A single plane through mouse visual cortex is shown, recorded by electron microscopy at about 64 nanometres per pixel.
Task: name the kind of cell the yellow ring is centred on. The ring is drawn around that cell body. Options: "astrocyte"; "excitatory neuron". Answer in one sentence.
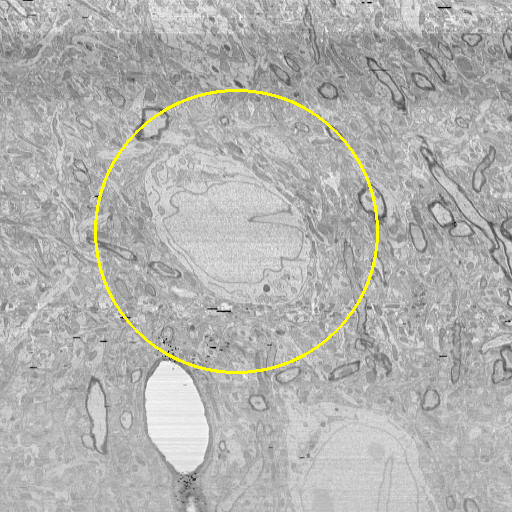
This cell body belongs to an excitatory neuron.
